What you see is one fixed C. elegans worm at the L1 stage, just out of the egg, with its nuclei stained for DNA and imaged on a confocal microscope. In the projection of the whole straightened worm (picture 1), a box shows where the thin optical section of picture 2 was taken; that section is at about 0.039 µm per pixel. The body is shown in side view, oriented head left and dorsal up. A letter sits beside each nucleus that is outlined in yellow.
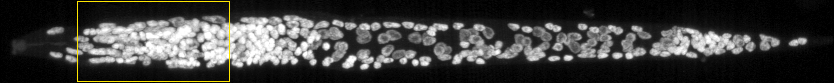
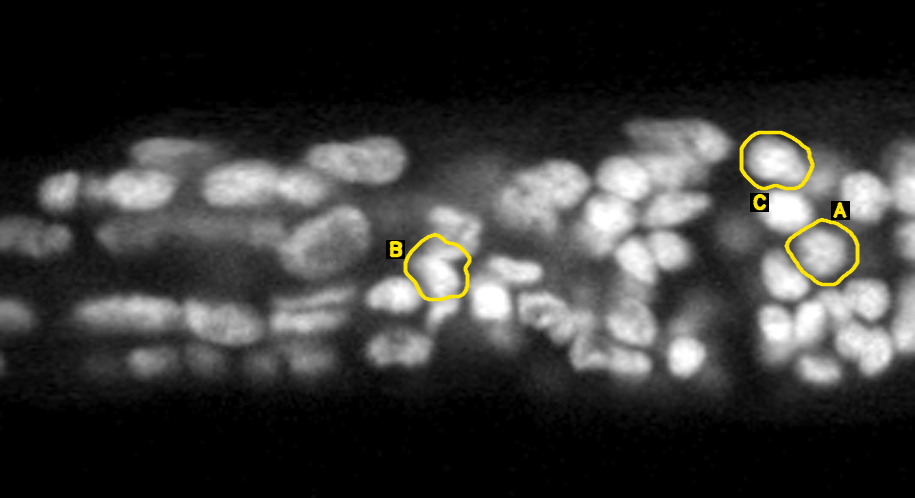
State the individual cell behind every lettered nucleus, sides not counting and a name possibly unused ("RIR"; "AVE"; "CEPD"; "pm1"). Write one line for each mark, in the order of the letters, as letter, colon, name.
A: AVE
B: pm1
C: CEPD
